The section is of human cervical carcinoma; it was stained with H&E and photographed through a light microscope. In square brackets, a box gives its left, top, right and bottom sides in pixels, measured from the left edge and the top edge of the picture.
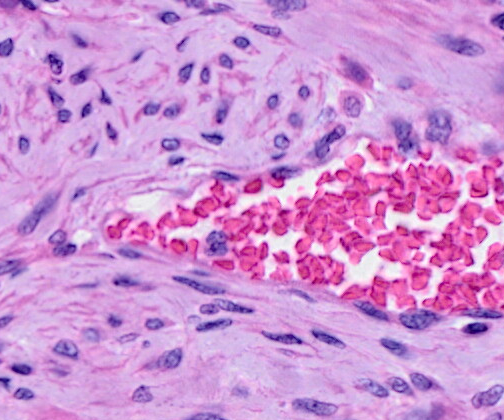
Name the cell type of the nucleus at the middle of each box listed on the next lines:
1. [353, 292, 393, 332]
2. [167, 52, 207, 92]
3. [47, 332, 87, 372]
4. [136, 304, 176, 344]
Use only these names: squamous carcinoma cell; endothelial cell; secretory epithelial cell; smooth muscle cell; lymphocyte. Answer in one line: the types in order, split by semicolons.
endothelial cell; smooth muscle cell; smooth muscle cell; smooth muscle cell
